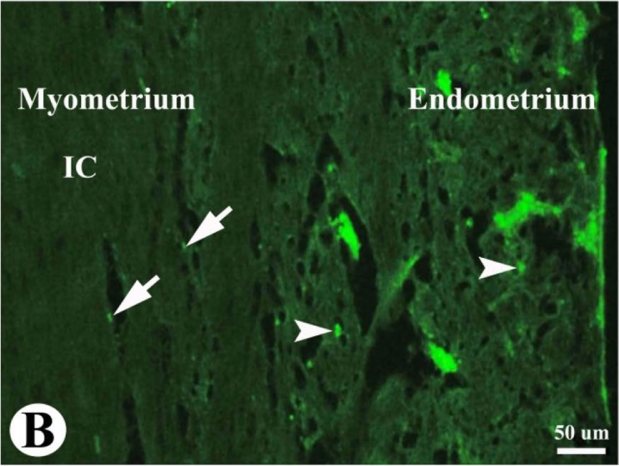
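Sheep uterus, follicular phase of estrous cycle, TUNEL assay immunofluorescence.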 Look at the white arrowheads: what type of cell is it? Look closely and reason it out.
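The arrowheads point to small bright green dots scattered in loose, porous connective tissue. This loose tissue lies on the right, away from the dense fibrous layer on the left. On this evidence: stromal cells.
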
